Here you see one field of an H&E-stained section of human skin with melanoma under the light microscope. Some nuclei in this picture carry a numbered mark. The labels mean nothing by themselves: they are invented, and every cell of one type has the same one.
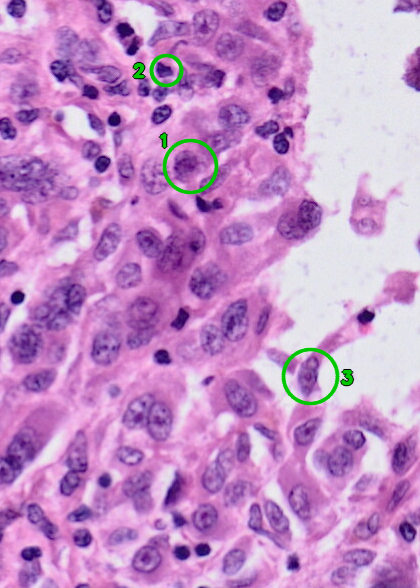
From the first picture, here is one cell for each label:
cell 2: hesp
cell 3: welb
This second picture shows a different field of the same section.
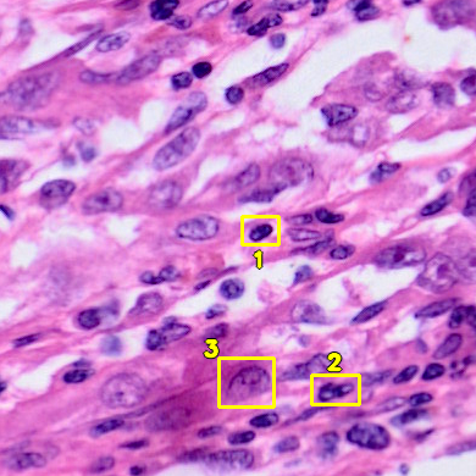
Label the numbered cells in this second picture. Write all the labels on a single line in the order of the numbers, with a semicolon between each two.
hesp; hesp; welb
